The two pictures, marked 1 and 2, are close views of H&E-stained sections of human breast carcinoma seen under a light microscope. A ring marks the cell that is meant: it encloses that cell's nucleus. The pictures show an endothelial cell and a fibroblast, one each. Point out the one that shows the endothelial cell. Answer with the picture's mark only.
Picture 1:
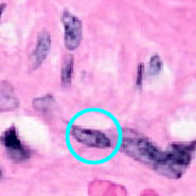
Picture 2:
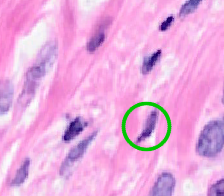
1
